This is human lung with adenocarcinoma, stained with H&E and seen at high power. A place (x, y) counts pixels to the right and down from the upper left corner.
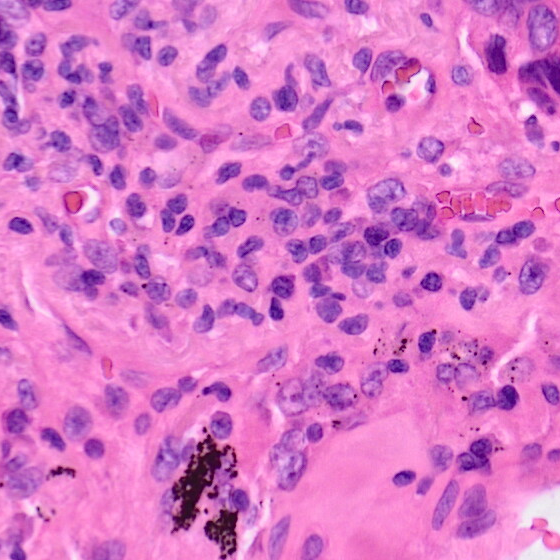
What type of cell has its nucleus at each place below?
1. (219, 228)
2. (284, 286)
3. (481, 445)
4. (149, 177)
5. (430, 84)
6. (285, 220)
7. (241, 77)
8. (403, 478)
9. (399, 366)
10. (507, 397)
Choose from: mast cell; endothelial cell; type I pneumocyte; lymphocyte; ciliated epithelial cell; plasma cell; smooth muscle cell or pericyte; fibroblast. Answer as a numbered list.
1. lymphocyte
2. plasma cell
3. plasma cell
4. lymphocyte
5. endothelial cell
6. lymphocyte
7. lymphocyte
8. mast cell
9. lymphocyte
10. lymphocyte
